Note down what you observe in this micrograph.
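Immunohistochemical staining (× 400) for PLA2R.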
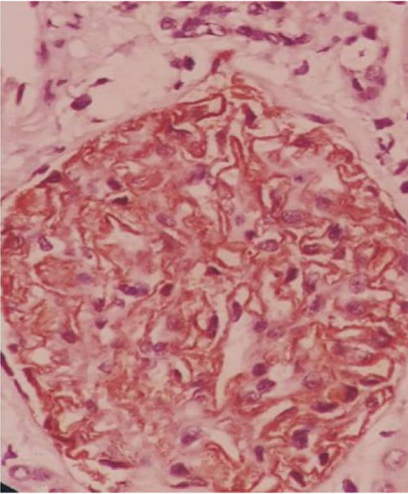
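This is a glomerulus in kidney tissue, with a red-brown stain lining the walls of its capillary loops in a fine, wavy, somewhat beaded pattern throughout the tuft. Purple nuclei are scattered among the stained loops, and the tubules beside the glomerulus, with their pale pink cytoplasm and round nuclei, stay unstained.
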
